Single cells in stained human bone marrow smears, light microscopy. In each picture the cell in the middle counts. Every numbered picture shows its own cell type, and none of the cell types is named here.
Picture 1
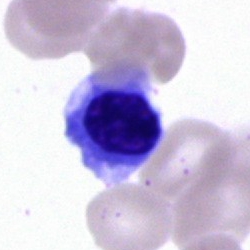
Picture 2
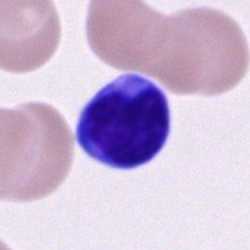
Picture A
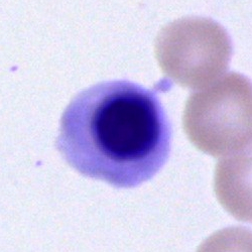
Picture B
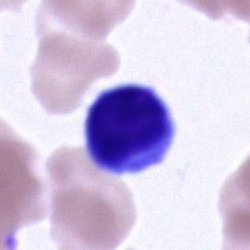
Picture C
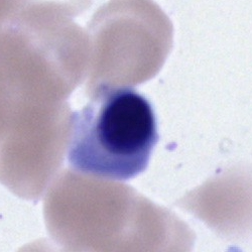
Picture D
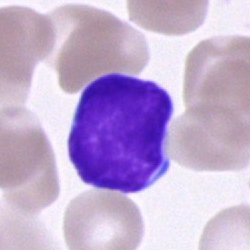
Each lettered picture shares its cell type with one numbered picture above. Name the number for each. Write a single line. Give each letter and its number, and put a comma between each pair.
A 1, B 2, C 1, D 2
